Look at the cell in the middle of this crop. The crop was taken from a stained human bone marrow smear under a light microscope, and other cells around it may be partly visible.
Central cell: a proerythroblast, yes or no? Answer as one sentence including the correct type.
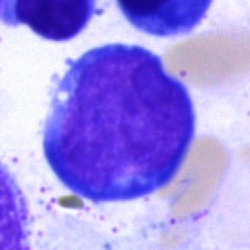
Yes, the cell here in the middle is a proerythroblast.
